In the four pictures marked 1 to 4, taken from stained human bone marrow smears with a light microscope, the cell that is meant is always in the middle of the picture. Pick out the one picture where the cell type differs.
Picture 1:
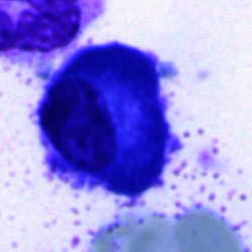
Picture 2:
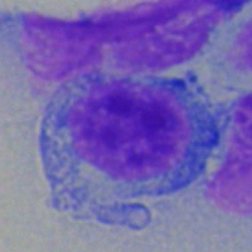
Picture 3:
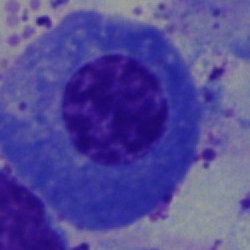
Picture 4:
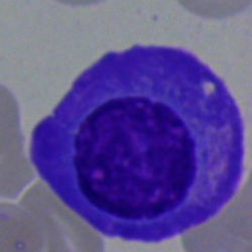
2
